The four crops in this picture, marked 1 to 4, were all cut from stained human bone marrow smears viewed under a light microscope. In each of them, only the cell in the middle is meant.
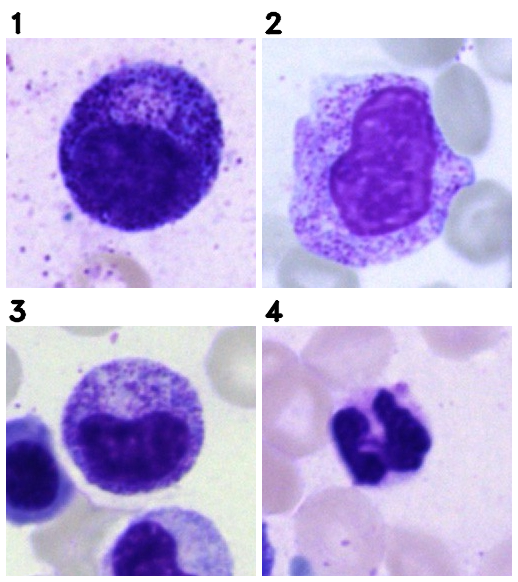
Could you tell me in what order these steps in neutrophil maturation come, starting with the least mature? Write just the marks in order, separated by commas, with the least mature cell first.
1, 2, 3, 4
